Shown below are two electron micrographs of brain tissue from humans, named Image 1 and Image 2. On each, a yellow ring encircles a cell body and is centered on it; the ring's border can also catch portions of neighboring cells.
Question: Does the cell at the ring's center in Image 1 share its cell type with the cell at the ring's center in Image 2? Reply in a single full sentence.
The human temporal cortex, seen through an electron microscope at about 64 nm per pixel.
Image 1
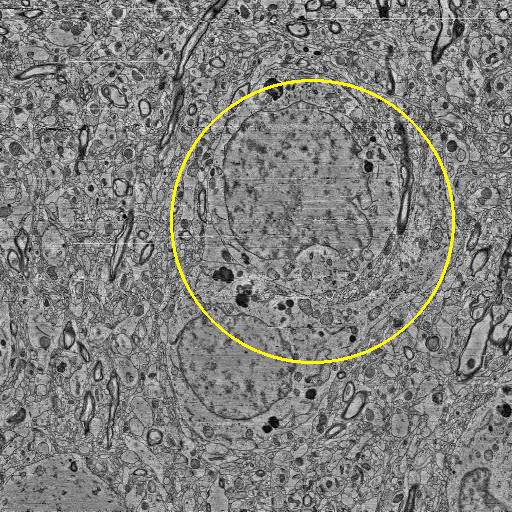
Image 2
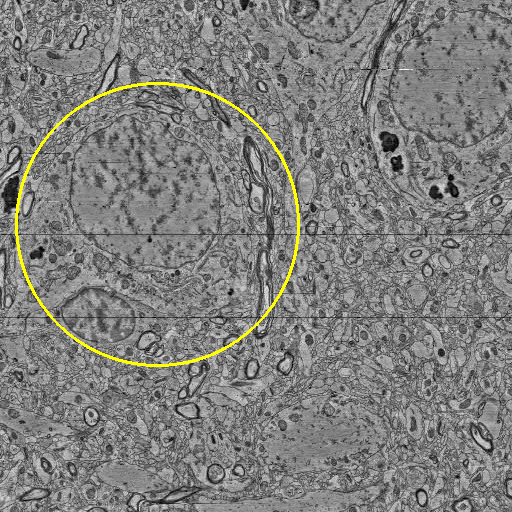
Yes, the two cells at the ring centers, in Image 1 and Image 2, share one cell type.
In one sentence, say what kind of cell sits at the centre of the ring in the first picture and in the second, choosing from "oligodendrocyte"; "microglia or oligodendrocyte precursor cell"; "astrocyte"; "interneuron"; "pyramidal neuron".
Each of the two rings is centred on a pyramidal neuron.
